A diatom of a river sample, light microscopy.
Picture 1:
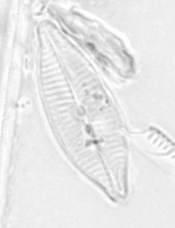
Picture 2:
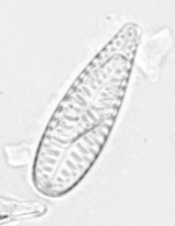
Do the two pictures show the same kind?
No: Navicula, then Gomphonella.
